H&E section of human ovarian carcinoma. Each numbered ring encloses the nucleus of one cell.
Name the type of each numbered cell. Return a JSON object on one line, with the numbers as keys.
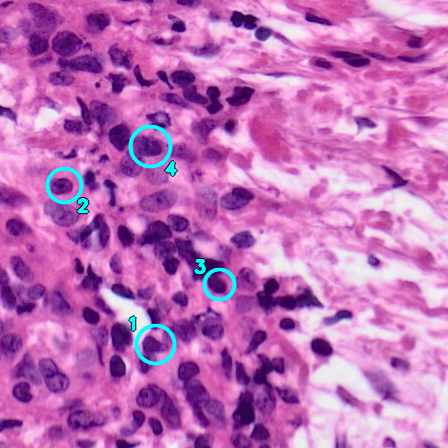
{"1": "carcinoma cell", "2": "macrophage or monocyte", "3": "carcinoma cell", "4": "carcinoma cell"}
